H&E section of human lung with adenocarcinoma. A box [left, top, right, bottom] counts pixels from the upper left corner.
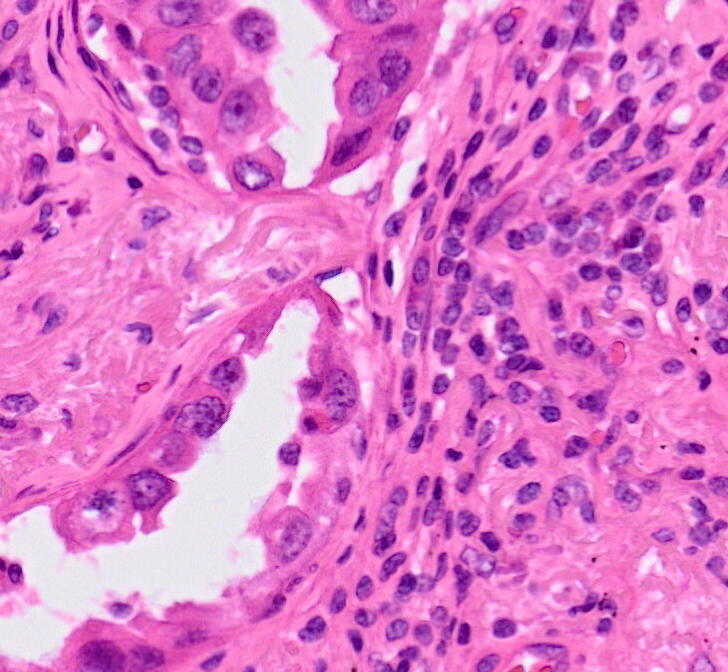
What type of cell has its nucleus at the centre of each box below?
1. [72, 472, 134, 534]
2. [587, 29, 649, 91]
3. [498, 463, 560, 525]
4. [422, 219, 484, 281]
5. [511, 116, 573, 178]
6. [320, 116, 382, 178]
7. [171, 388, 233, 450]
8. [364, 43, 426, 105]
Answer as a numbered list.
1. carcinoma cell
2. lymphocyte
3. lymphocyte
4. lymphocyte
5. lymphocyte
6. carcinoma cell
7. carcinoma cell
8. carcinoma cell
